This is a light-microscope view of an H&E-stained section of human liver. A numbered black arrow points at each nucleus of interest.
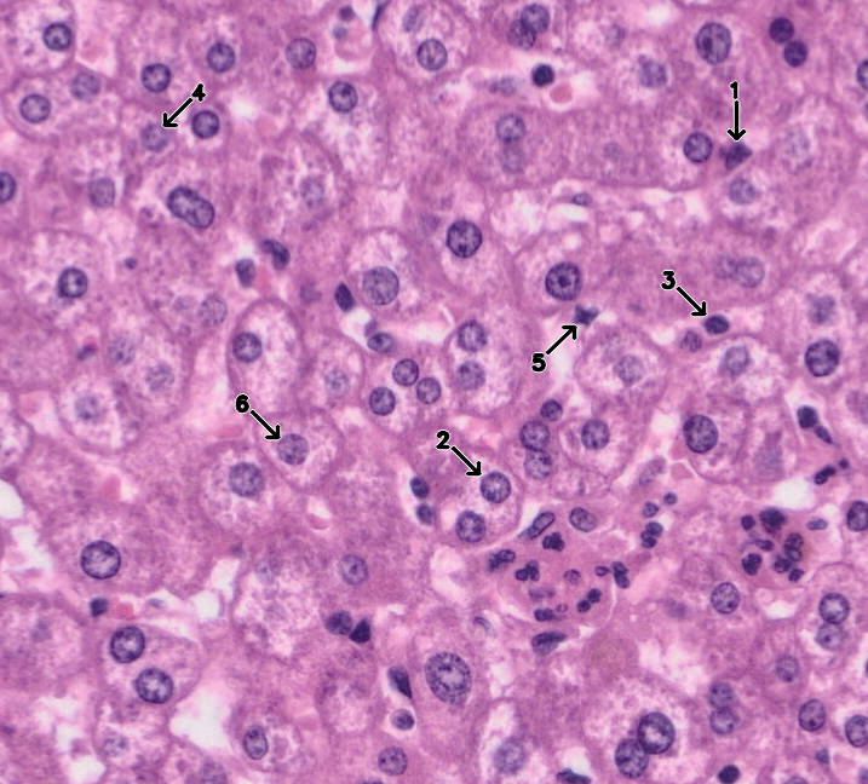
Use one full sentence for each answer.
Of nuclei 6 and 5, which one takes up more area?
Nucleus 6 covers more area, about 1.5 times as much as nucleus 5.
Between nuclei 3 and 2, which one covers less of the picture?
With nucleus 2 about 2 times its size, nucleus 3 is the smaller of the two.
